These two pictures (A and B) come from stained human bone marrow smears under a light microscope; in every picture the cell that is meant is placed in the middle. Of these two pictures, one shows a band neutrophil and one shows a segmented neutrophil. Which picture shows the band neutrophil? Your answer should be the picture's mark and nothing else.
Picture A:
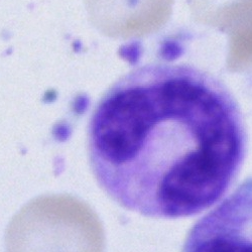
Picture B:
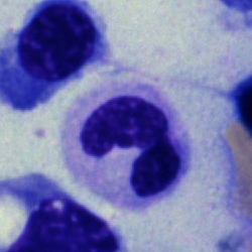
A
